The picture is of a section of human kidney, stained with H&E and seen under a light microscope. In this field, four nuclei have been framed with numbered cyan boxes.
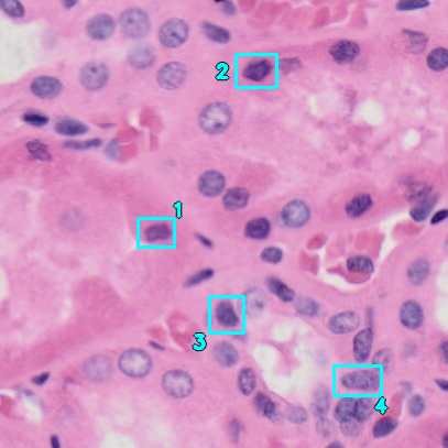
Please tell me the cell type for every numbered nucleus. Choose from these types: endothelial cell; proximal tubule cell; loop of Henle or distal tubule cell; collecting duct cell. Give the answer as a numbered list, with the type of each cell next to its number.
1. proximal tubule cell
2. proximal tubule cell
3. collecting duct cell
4. collecting duct cell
